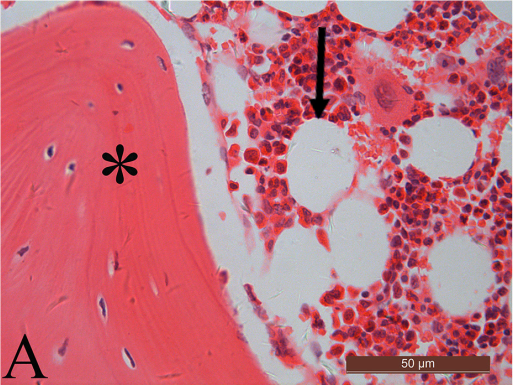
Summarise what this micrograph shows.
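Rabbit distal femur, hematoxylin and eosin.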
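This is bone marrow beside trabecular bone, with a few marrow fat cells among hematopoietic cells. On the left a broad band of bone stains homogeneous pink with faint lamellar lines and contains small dark flattened nuclei in lacunae. A pale gap separates the bone edge from the marrow. The marrow space is densely filled with small round cells with dark purple nuclei and many red blood cells. Several large round clear spaces with thin rims, the fat cells, are scattered in it, and a larger cell with abundant pink cytoplasm lies near the top.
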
